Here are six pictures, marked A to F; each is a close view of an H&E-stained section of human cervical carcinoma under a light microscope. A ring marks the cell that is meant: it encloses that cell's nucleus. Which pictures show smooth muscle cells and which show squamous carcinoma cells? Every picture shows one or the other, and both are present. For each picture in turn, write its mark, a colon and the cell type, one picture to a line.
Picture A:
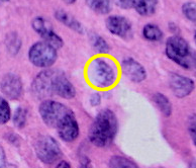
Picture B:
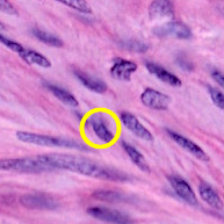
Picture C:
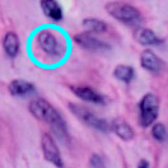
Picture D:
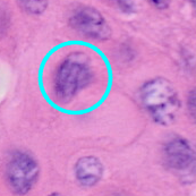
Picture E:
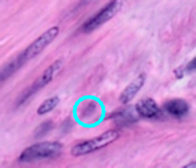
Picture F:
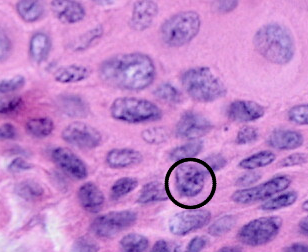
A: squamous carcinoma cell
B: smooth muscle cell
C: smooth muscle cell
D: squamous carcinoma cell
E: smooth muscle cell
F: squamous carcinoma cell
